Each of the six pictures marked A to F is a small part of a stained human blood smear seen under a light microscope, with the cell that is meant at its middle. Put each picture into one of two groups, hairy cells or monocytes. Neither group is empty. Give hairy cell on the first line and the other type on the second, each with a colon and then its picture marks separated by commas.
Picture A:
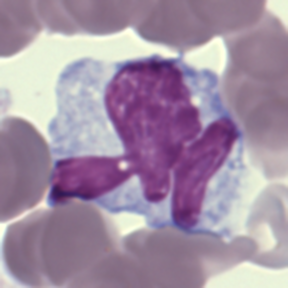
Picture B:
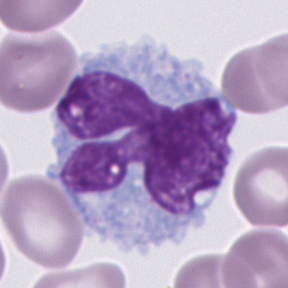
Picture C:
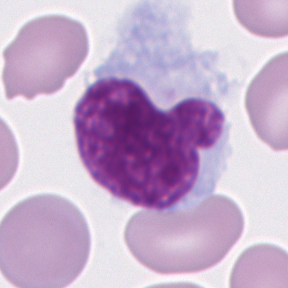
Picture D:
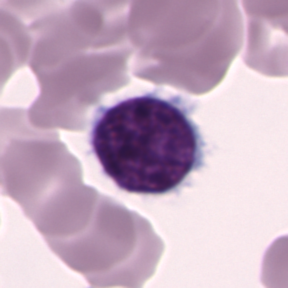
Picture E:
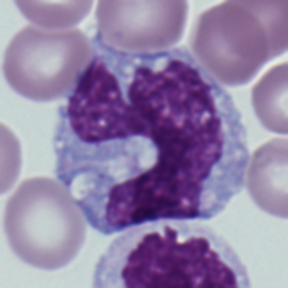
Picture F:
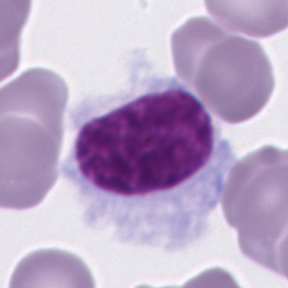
hairy cell: C, D, F
monocyte: A, B, E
